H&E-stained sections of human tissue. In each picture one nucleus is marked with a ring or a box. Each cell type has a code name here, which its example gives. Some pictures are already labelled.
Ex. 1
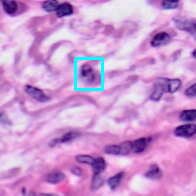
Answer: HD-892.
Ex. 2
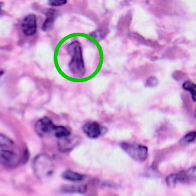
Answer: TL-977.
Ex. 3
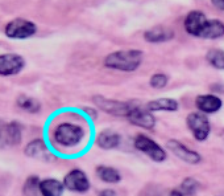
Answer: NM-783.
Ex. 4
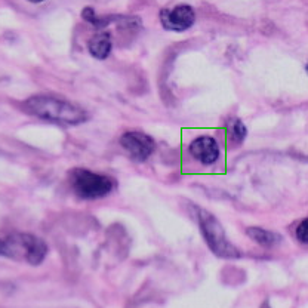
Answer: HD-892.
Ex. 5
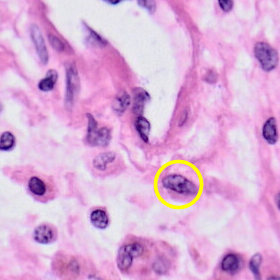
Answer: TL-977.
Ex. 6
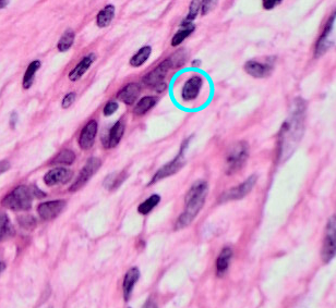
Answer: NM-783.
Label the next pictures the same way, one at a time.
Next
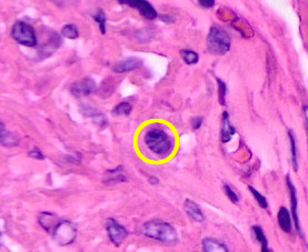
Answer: HD-892.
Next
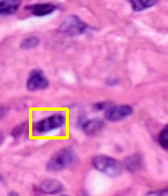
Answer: HD-892.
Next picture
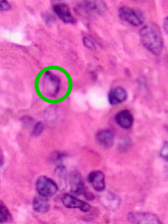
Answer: TL-977.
